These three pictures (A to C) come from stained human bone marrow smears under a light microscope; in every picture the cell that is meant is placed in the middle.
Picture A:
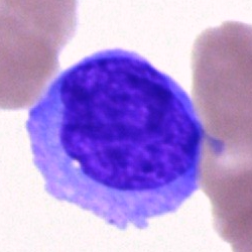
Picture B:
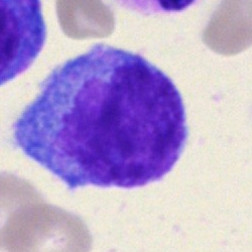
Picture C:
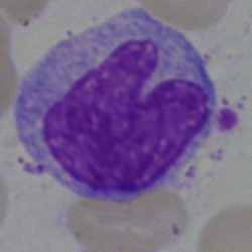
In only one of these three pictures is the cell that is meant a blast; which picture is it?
A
